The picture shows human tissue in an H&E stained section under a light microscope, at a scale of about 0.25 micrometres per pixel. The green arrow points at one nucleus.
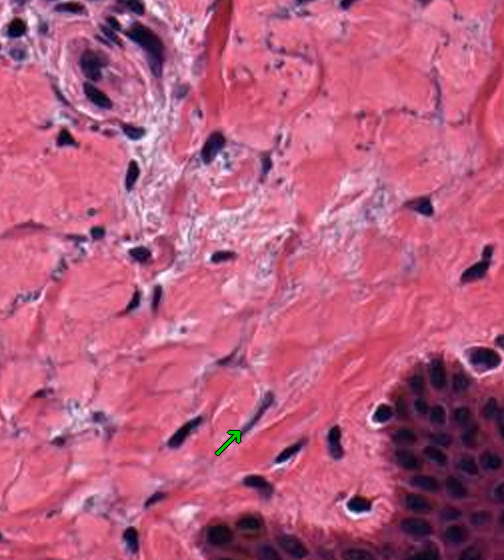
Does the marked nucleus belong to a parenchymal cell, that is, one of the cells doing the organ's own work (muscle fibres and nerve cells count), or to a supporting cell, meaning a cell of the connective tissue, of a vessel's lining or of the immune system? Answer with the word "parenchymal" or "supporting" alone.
supporting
